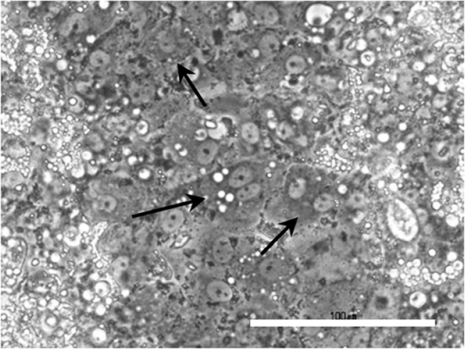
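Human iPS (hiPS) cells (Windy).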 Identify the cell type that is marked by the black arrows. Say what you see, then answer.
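The arrowed cells each hold two round nuclei with visible nucleoli. The cells are polygonal and tightly packed. That points to this answer: binuclear cells.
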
